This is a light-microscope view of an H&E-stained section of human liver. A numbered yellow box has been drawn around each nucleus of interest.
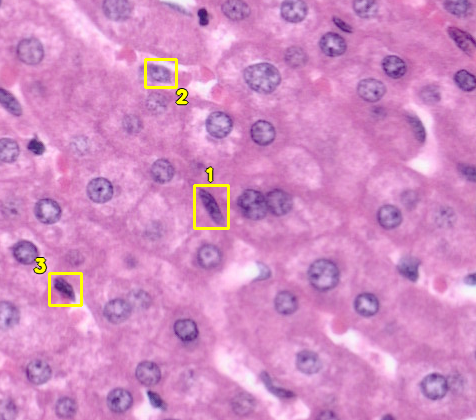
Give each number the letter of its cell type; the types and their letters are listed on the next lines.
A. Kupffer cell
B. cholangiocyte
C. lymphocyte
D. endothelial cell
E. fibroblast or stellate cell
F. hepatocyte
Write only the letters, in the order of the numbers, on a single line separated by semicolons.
E; A; D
